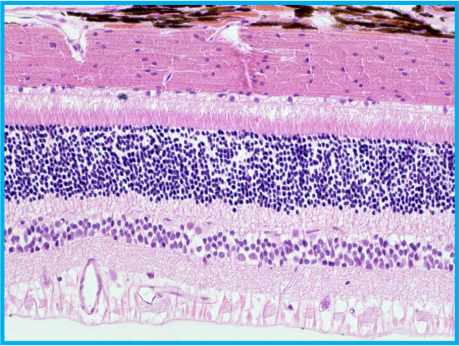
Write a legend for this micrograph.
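Layered retina with overlying tapetum and choroid. At the top, dark brown pigment of the choroid. Beneath it a thick, evenly pink band of flattened cells with small scattered nuclei, the tapetum. Below this a pale pink, finely striated layer of photoreceptor segments, then a thick band of densely packed, small, round, dark purple nuclei. A pale fibrillar layer separates this from a thinner band of larger, paler nuclei. A further pale fibrillar layer lies above the innermost layer, which holds sparse larger cells and a small vessel.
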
